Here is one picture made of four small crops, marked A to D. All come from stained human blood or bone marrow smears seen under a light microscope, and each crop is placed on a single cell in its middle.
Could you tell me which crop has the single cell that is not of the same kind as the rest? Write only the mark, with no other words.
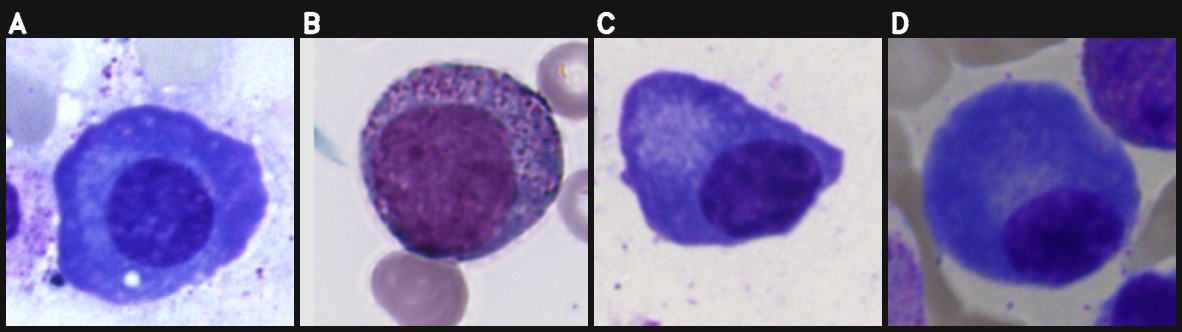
B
